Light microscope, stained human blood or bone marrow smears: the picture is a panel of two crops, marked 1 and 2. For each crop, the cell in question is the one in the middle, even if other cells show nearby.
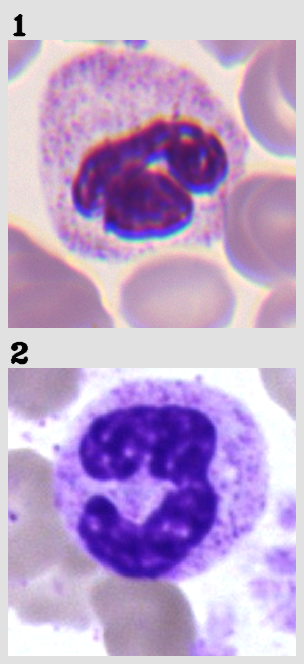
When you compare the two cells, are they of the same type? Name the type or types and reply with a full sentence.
Yes, they do, both crops show neutrophils.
